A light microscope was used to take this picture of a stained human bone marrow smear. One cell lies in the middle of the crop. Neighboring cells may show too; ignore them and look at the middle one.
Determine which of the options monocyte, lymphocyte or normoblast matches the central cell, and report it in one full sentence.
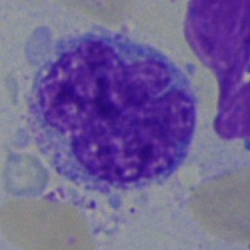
The cell in the middle of the field of view is a monocyte.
